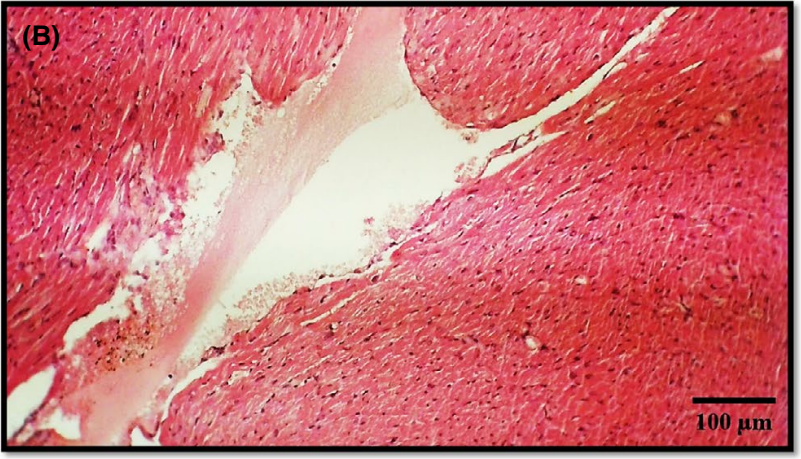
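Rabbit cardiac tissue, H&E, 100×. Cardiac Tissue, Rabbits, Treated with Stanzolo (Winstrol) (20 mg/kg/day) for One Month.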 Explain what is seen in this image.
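Bundles of pink muscle fibers with scattered elongated dark nuclei fill the field, divided by a wide pale space containing loose pale pink material and fragmented tissue at its edges. The lining along this space appears broken and frayed. This is myocardium bordering a cavity, with a disrupted inner lining.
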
